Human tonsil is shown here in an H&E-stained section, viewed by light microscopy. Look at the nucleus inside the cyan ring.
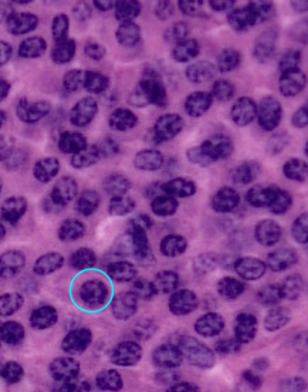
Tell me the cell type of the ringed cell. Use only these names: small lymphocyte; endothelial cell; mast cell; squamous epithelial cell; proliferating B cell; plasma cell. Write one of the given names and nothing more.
plasma cell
